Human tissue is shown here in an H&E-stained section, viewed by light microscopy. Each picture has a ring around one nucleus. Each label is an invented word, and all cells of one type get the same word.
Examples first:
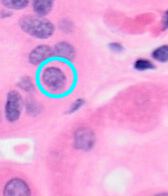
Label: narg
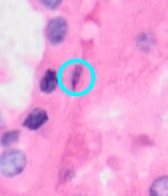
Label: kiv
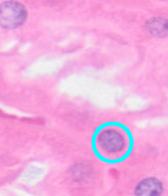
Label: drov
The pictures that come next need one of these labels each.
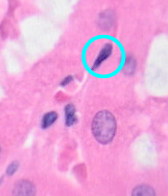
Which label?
kiv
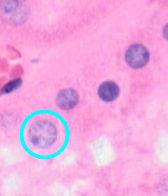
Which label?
drov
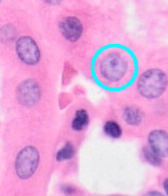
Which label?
drov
